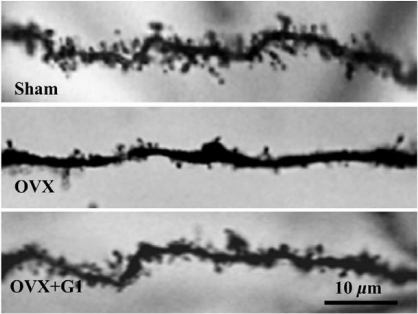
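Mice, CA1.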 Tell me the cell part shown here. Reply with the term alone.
Dendritic spine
